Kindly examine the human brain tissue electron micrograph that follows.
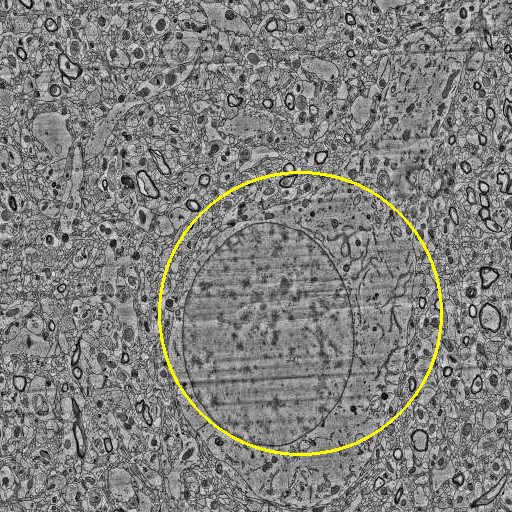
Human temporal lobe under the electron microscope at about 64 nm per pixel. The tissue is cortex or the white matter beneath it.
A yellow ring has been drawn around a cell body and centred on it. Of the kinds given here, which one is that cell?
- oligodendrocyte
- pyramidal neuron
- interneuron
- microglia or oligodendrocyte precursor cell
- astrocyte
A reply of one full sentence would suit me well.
The micrograph's ringed cell, the one at the ring's centre, is a pyramidal neuron.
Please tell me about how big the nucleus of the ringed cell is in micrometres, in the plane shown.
In this plane, approximately 14 by 11 micrometers.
